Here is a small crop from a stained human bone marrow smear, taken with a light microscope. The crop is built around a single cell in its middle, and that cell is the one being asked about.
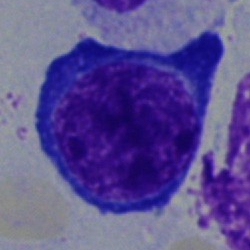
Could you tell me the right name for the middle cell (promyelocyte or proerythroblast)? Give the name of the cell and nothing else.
proerythroblast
